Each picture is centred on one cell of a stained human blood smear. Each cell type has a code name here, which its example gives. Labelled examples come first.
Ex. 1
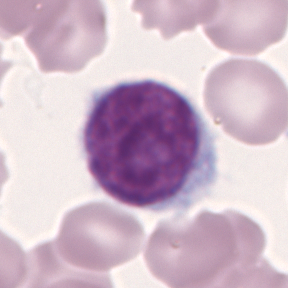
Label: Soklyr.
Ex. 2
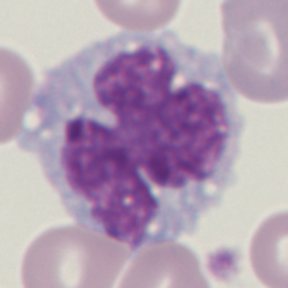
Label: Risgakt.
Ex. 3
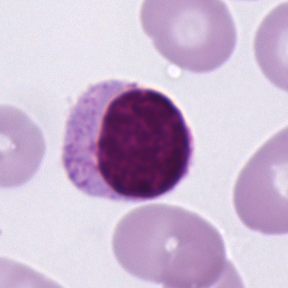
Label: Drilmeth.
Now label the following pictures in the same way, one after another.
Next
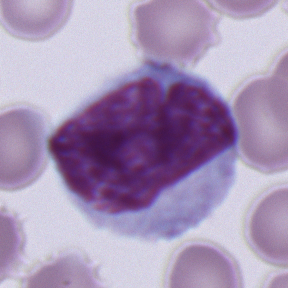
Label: Risgakt.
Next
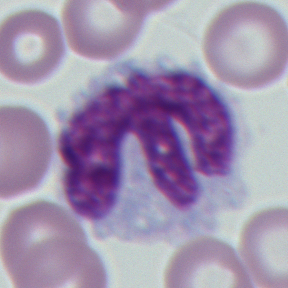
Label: Risgakt.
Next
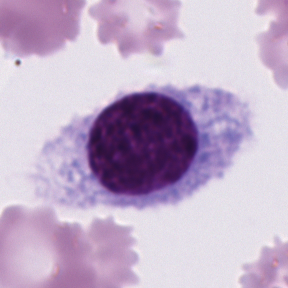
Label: Soklyr.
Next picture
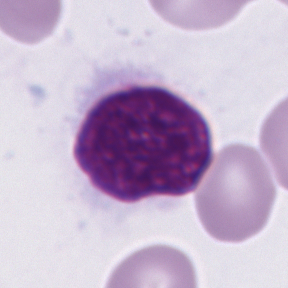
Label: Soklyr.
